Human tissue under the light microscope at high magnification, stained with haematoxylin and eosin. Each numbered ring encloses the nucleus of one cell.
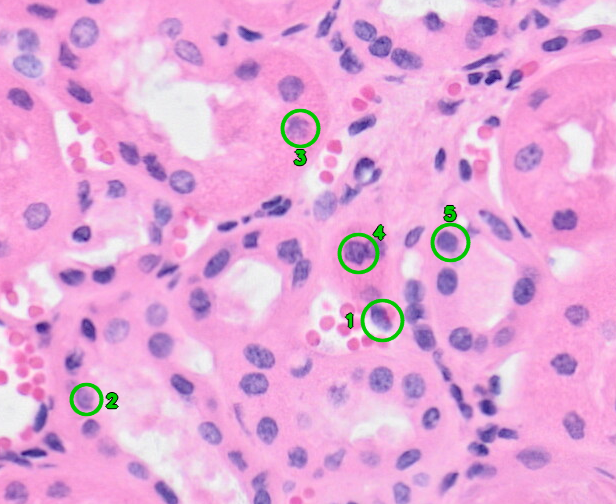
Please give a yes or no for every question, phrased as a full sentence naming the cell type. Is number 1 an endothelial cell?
Yes, the cell pointed out as number 1 is an endothelial cell.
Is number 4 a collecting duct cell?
No, it is a proximal tubule cell, not a collecting duct cell, at number 4.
